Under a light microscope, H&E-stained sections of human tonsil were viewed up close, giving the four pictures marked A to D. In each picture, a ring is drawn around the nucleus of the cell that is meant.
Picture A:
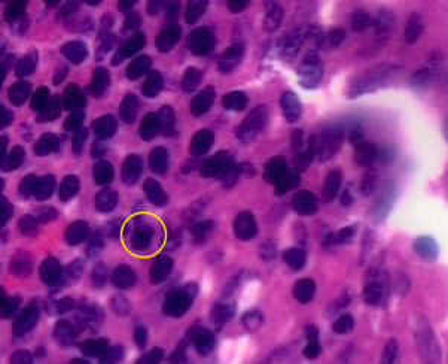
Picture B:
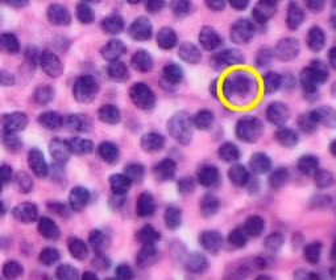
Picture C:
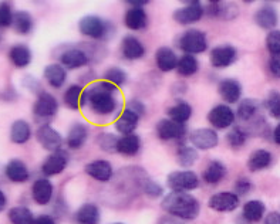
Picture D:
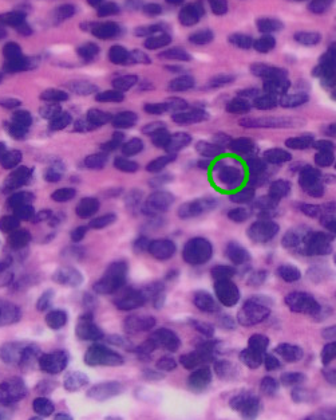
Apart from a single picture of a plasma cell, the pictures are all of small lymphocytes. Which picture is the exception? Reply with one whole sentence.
The plasma cell is the one in picture A.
